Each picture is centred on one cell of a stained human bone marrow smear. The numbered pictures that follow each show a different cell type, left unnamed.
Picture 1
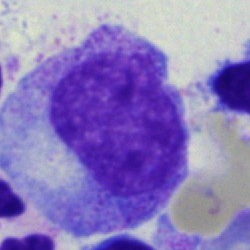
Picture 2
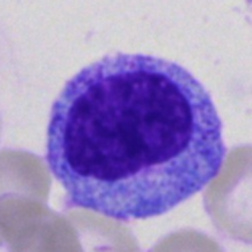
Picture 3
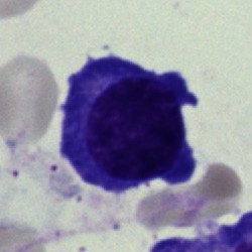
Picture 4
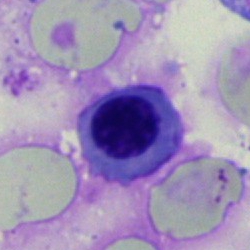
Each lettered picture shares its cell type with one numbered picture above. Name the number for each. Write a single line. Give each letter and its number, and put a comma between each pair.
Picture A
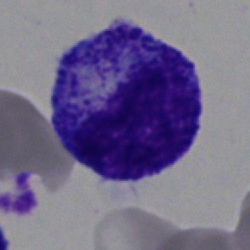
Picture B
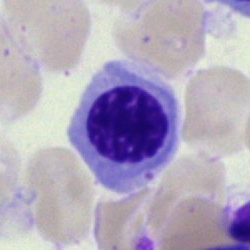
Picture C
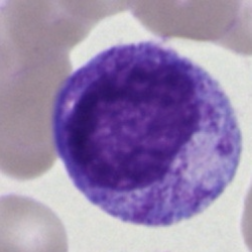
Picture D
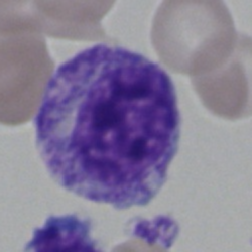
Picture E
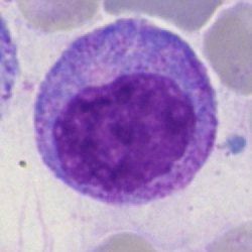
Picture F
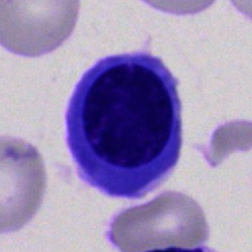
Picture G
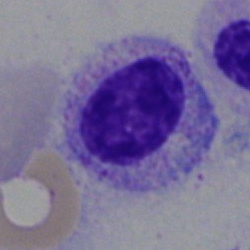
A 1, B 4, C 1, D 2, E 1, F 4, G 2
